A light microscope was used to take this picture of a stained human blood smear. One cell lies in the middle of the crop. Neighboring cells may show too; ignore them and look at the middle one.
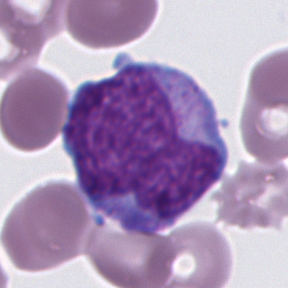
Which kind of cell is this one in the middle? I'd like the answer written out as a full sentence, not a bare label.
Framed in the middle of the crop is an atypical promyelocyte.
